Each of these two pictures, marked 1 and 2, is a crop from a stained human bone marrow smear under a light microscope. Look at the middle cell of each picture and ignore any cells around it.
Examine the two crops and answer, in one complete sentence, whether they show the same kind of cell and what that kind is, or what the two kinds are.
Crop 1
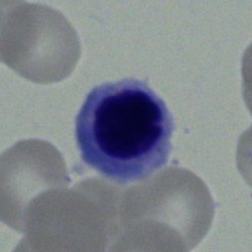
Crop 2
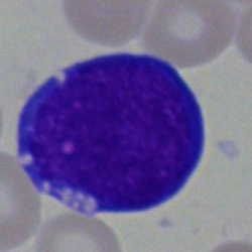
No, crop 1 shows an erythroblast and crop 2 a blast.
